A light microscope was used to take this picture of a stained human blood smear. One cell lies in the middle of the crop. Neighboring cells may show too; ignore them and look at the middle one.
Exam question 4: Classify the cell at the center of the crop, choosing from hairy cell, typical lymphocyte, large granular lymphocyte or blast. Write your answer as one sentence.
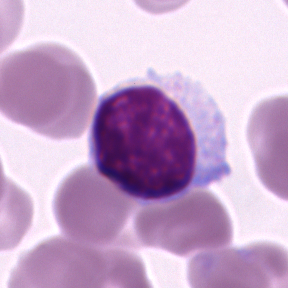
At the crop's centre, the cell is a large granular lymphocyte.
